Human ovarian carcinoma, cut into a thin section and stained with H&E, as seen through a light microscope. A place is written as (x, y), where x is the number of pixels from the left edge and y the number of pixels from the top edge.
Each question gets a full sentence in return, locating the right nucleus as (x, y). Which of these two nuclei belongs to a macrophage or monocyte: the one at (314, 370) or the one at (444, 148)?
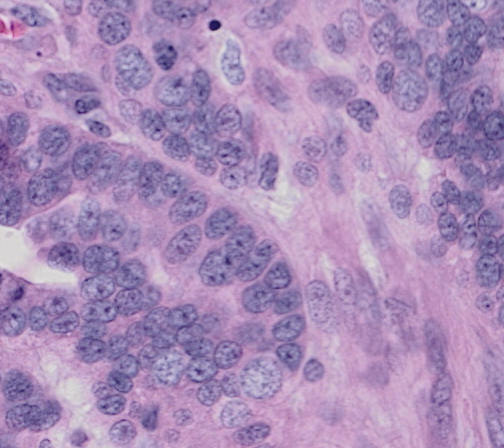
The nucleus at (314, 370) is identified as belonging to a macrophage or monocyte.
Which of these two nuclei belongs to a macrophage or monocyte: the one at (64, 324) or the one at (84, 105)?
The nucleus at position (84, 105) belongs to a macrophage or monocyte.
